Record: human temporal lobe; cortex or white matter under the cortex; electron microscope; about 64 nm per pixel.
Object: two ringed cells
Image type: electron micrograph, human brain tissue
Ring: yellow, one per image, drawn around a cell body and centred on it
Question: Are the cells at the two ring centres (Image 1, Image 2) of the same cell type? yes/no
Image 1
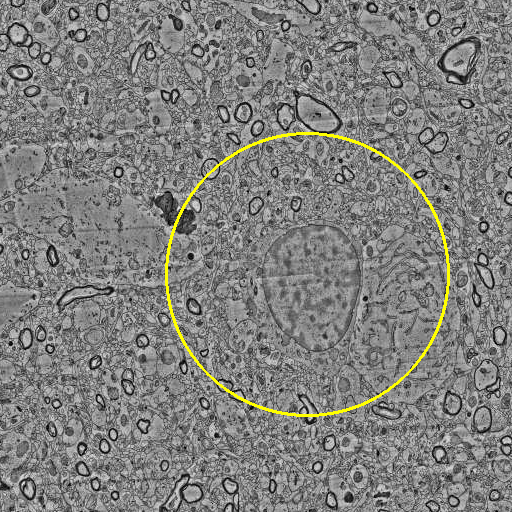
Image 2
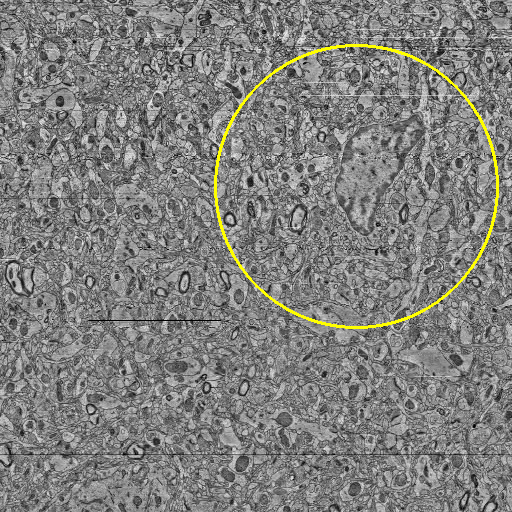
no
